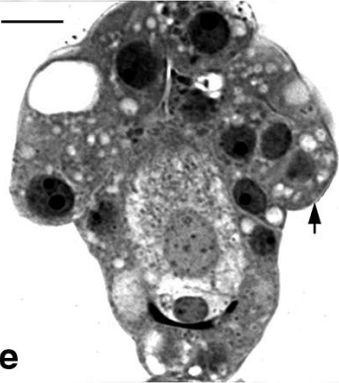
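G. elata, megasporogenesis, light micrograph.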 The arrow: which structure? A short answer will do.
Integument tissue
